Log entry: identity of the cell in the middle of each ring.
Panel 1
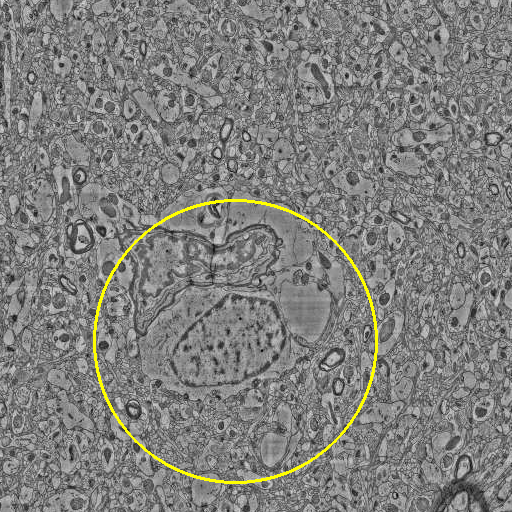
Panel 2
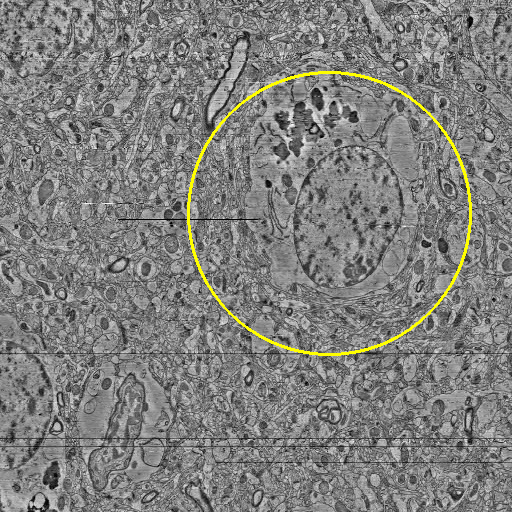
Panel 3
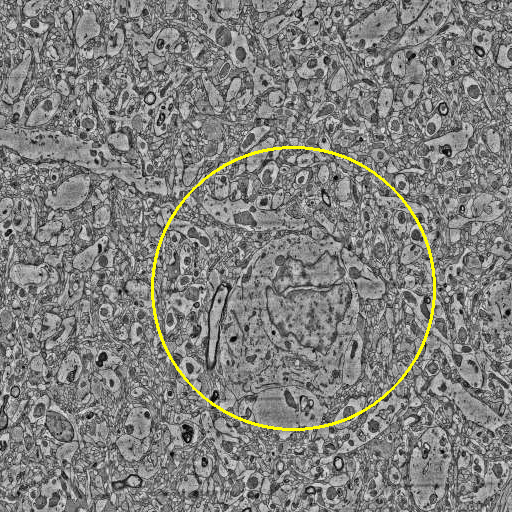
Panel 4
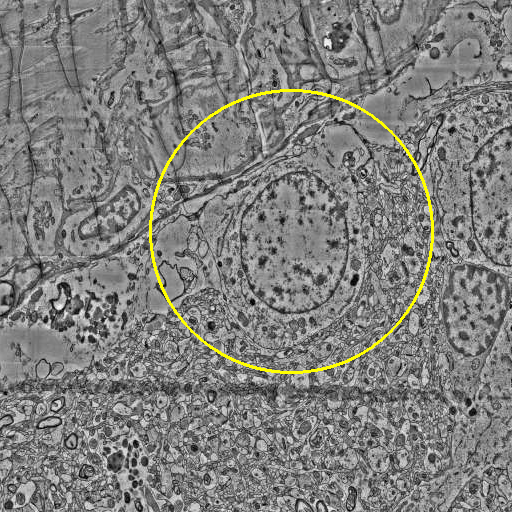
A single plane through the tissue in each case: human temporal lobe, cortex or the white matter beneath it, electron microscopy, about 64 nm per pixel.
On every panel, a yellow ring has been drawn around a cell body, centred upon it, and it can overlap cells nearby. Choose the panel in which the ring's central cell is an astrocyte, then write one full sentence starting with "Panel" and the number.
Panel 2 shows the requested cell sitting in the middle of its ring.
